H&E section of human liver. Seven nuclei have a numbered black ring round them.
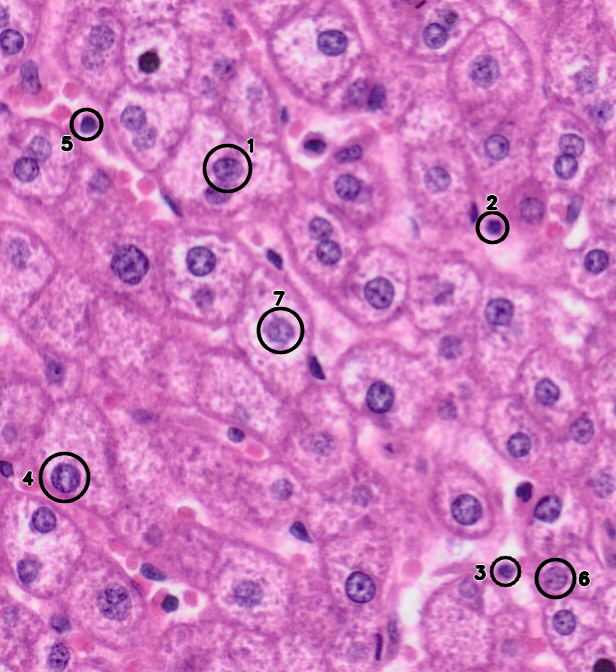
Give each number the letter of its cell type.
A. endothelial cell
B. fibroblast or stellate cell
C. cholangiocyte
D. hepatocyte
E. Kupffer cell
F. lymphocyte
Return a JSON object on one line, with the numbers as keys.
{"1": "D", "2": "F", "3": "F", "4": "D", "5": "F", "6": "D", "7": "D"}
